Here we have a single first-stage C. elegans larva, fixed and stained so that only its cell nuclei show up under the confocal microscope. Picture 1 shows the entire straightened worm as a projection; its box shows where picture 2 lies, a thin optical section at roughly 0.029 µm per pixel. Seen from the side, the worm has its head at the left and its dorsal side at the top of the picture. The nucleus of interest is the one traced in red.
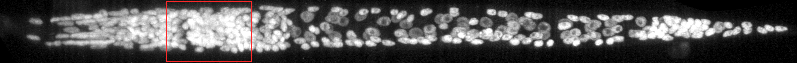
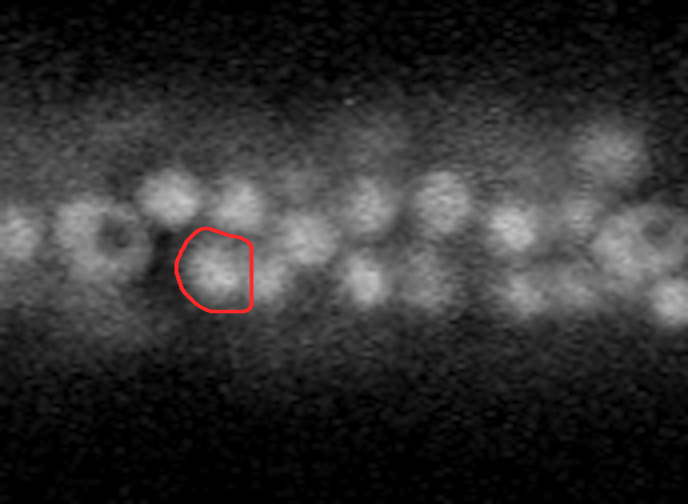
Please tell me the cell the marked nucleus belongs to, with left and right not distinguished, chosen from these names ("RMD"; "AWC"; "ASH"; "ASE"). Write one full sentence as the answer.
The marked nucleus belongs to RMD, a neuron.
